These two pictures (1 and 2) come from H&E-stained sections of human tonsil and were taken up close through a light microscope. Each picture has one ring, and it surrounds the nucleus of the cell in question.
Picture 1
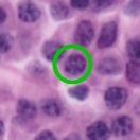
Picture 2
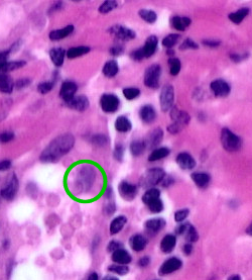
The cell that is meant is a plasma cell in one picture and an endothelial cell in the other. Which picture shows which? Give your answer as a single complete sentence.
Picture 2 shows an endothelial cell, while picture 1 shows a plasma cell.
